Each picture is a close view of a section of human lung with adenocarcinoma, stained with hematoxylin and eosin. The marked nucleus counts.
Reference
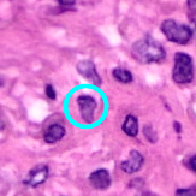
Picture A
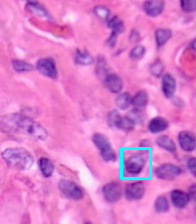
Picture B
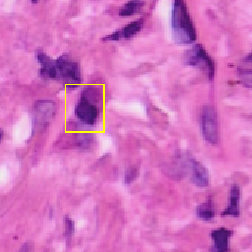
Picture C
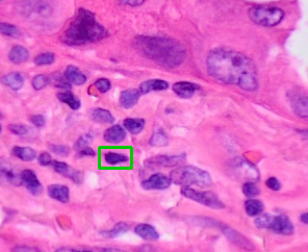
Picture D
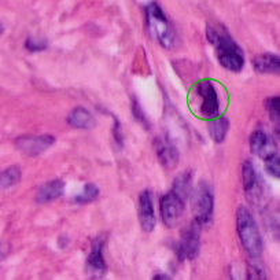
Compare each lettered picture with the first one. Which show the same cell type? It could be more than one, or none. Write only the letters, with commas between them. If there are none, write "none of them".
A, C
